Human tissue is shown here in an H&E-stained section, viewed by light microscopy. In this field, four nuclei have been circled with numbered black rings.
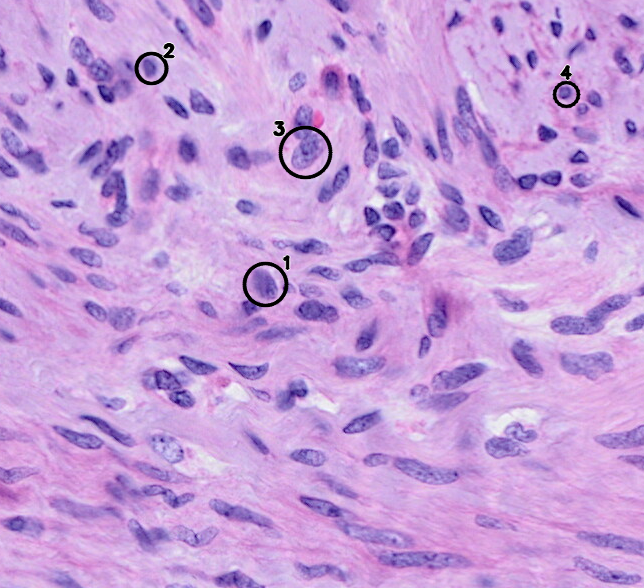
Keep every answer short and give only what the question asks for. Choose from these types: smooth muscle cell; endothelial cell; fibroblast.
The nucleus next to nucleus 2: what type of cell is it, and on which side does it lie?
an endothelial cell to the left of nucleus 2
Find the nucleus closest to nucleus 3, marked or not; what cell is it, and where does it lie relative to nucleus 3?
an endothelial cell above nucleus 3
